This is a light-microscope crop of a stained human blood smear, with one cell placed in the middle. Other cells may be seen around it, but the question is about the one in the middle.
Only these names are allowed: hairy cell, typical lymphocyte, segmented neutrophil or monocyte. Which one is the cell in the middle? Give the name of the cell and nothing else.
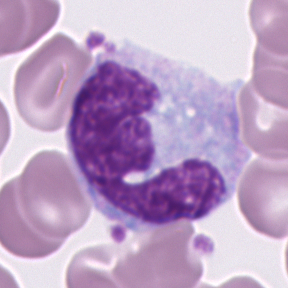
monocyte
